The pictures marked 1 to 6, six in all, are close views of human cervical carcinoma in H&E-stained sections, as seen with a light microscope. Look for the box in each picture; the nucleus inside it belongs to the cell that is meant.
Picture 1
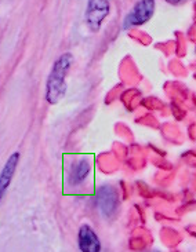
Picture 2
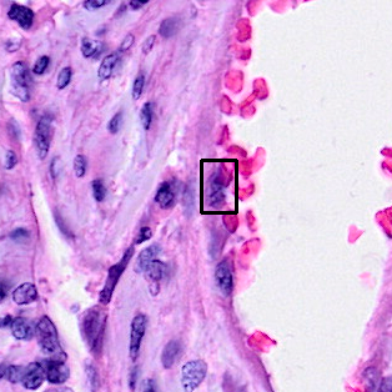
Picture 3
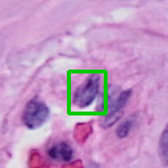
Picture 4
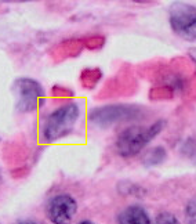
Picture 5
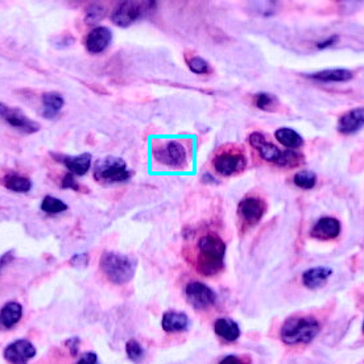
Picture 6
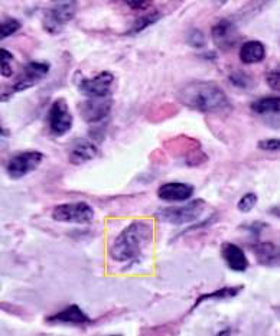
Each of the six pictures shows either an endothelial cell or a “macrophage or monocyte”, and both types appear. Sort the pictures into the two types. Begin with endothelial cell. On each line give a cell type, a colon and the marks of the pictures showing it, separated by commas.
endothelial cell: 1, 2, 3, 4
macrophage or monocyte: 5, 6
